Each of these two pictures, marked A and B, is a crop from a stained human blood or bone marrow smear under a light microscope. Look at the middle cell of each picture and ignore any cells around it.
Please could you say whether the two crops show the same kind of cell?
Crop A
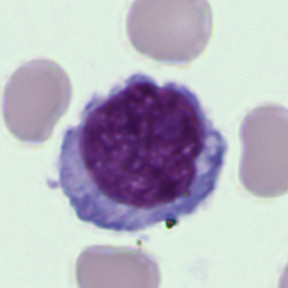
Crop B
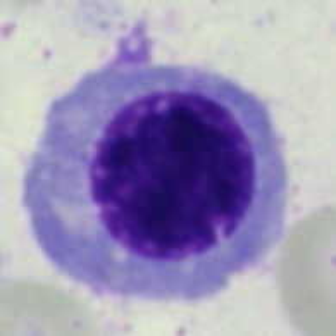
no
